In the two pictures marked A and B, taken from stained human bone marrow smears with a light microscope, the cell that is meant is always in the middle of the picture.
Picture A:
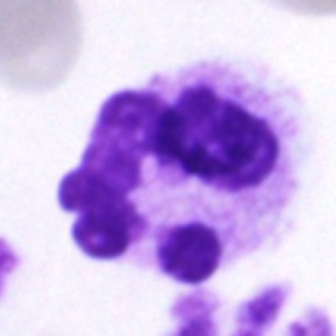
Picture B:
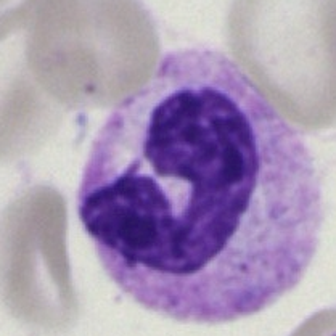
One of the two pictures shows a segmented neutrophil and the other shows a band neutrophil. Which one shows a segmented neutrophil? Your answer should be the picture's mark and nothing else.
A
